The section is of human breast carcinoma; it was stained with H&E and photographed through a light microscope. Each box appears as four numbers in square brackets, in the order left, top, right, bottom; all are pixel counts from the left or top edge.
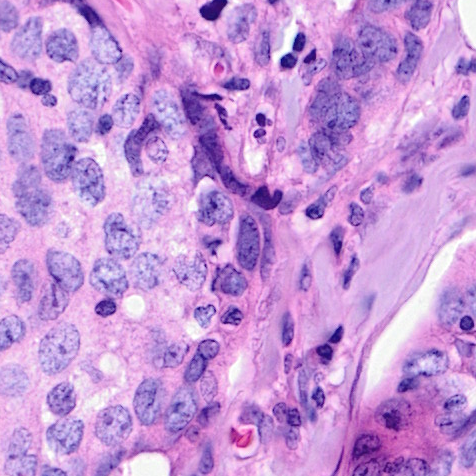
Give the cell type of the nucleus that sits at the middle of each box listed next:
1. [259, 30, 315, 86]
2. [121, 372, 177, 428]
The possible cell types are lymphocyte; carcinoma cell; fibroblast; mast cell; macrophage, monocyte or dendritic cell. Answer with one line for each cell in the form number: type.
1: lymphocyte
2: carcinoma cell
